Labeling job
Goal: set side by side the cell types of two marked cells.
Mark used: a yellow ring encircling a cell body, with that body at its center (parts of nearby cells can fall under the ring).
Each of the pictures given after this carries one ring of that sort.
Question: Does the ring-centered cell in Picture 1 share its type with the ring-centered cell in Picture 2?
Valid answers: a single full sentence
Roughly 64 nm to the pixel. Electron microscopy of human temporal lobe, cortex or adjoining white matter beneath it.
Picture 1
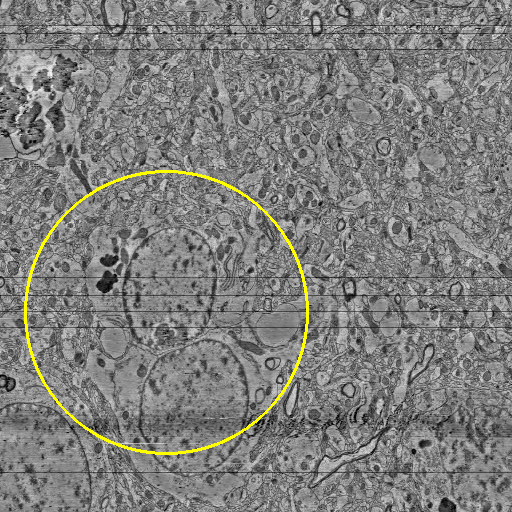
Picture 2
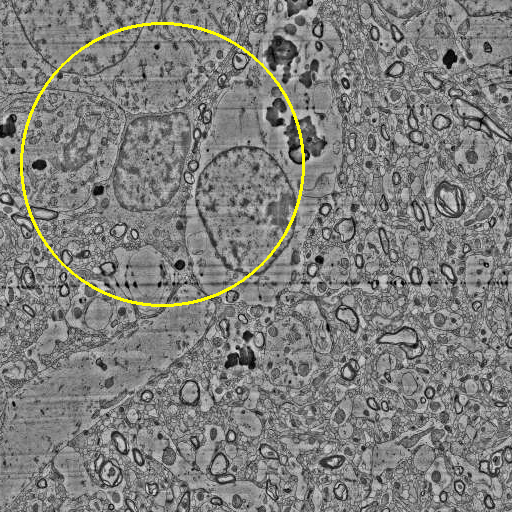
No, in Pictures 1 and 2 the cells at the ring centers have separate types.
